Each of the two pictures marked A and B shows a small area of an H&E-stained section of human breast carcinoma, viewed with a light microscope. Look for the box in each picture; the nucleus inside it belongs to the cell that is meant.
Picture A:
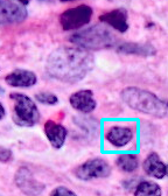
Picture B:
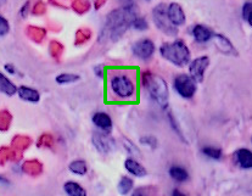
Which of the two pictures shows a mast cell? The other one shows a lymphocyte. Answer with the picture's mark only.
B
